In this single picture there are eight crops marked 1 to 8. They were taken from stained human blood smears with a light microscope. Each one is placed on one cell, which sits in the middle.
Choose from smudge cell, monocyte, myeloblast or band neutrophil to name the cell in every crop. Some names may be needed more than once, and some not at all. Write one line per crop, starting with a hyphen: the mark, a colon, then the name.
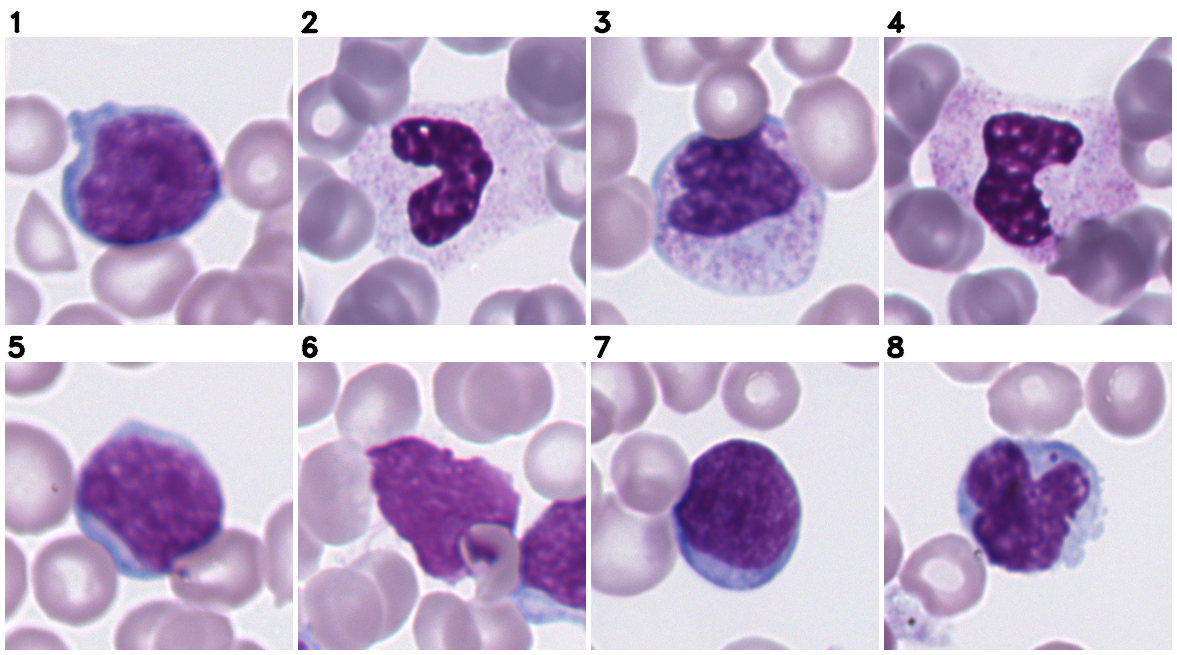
- 1: myeloblast
- 2: band neutrophil
- 3: band neutrophil
- 4: band neutrophil
- 5: myeloblast
- 6: smudge cell
- 7: myeloblast
- 8: monocyte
